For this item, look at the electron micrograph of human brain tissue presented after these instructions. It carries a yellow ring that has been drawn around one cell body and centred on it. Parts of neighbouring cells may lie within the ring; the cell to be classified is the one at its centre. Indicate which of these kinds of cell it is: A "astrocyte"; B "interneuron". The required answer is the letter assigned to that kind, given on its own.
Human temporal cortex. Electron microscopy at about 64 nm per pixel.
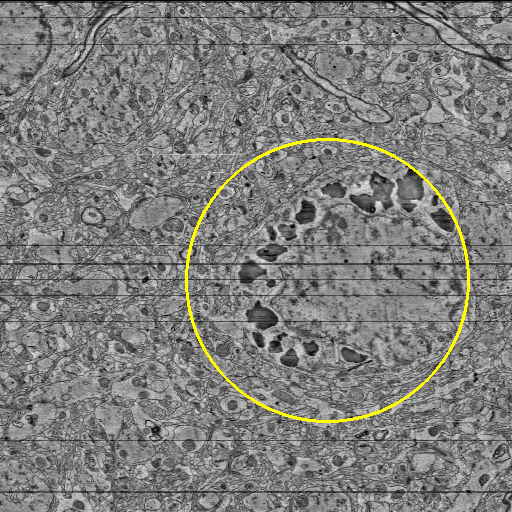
B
